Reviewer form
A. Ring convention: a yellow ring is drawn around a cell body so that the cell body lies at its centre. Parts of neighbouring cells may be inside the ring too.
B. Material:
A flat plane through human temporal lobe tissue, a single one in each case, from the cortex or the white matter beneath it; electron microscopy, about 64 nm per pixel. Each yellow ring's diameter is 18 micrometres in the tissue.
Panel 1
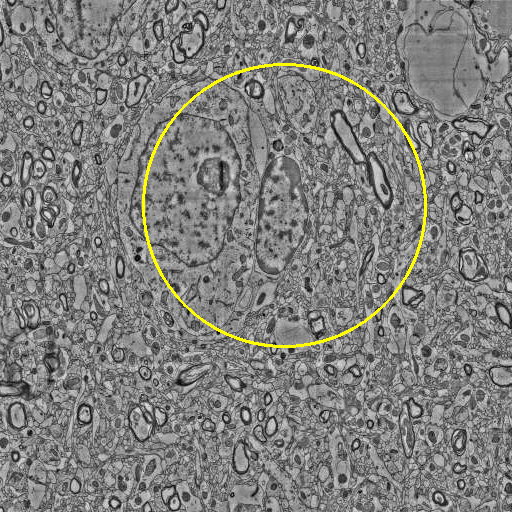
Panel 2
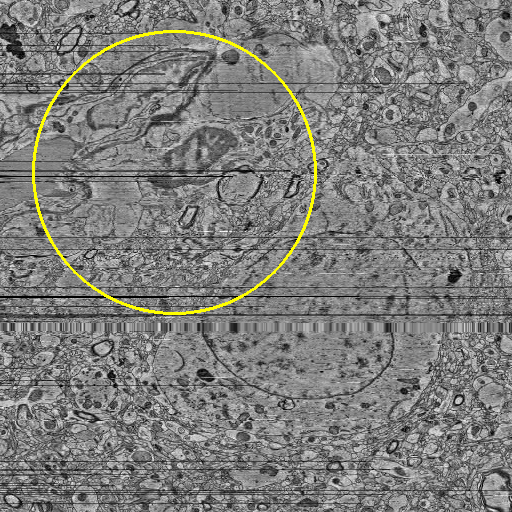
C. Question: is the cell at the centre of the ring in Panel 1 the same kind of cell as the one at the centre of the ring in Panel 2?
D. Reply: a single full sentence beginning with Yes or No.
Yes, the cells in Panel 1 and Panel 2 are the same kind of cell.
